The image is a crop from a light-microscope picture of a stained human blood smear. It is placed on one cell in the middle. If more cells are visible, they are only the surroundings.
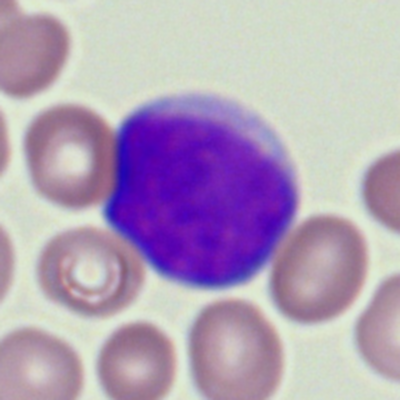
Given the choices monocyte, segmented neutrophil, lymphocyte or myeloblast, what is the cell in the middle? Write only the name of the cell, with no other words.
myeloblast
